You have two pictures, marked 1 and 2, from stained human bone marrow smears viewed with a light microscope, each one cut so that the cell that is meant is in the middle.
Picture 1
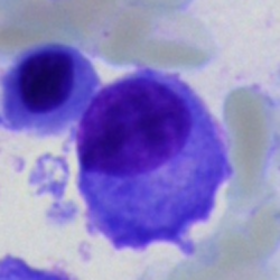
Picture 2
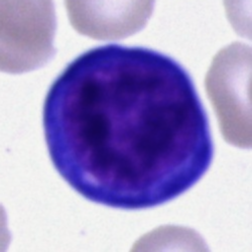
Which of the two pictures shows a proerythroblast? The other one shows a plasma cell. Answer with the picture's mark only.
2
